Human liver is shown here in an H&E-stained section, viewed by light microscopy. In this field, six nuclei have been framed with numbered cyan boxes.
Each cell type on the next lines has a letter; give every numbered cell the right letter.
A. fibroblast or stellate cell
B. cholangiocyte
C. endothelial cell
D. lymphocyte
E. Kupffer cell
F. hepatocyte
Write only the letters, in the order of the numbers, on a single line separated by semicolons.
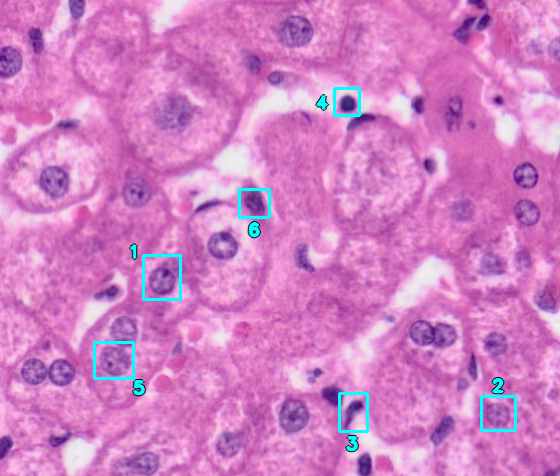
F; F; C; D; F; E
